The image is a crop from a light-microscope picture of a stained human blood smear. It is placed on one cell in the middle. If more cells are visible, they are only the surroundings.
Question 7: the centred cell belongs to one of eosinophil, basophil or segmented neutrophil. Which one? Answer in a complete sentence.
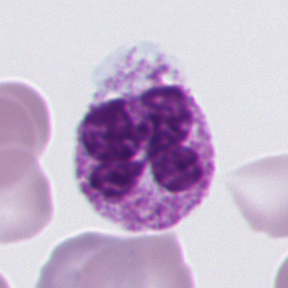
In the center of this field lies a segmented neutrophil.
